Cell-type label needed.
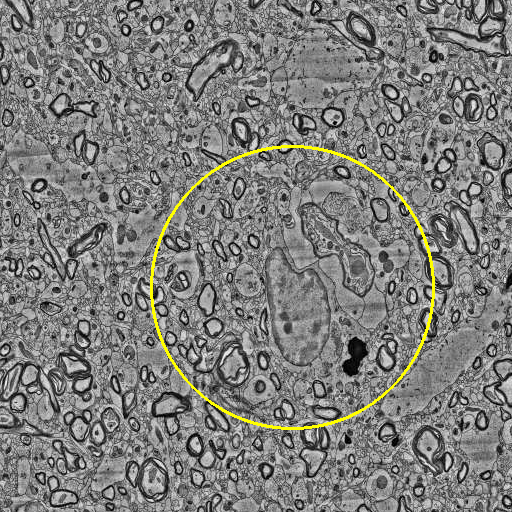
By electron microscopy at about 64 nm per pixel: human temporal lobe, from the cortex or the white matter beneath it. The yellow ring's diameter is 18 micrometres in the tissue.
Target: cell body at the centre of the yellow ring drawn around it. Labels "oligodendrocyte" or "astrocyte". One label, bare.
oligodendrocyte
